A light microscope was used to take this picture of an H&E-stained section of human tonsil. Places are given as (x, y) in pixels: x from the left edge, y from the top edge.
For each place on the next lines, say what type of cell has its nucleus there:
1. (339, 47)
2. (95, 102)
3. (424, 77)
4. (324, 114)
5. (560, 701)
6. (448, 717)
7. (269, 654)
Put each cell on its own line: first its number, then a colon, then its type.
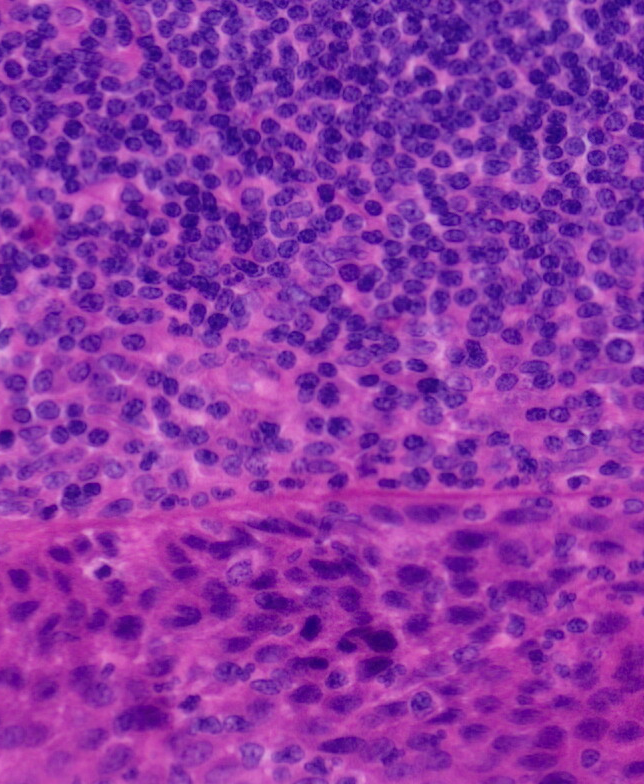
1: small lymphocyte
2: small lymphocyte
3: small lymphocyte
4: small lymphocyte
5: squamous epithelial cell
6: squamous epithelial cell
7: squamous epithelial cell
